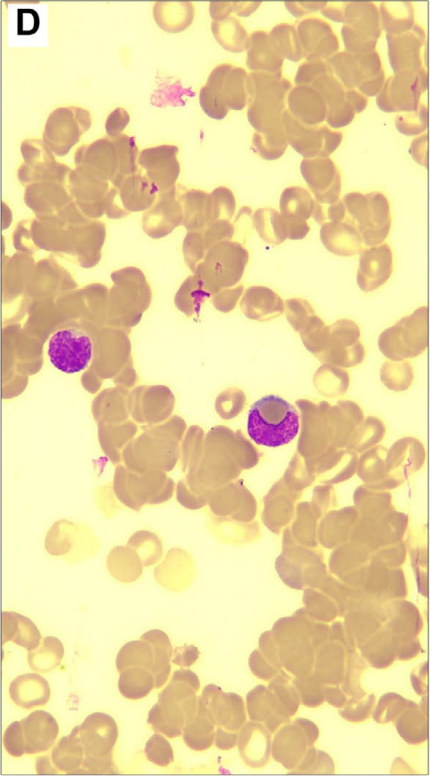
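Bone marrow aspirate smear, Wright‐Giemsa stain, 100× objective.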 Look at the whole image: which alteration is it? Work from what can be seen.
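Red blood cell agglutination. Red cells lie in irregular clumps and heaps rather than spread singly.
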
